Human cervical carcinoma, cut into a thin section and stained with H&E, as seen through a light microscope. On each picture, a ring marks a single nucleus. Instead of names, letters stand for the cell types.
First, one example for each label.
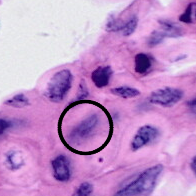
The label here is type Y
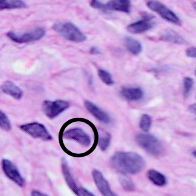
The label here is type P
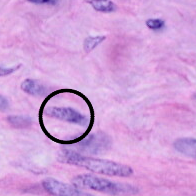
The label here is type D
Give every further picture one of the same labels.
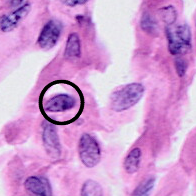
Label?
type Y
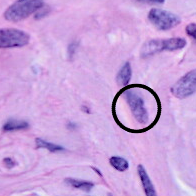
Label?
type P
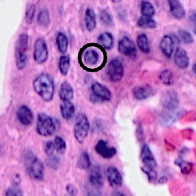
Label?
type Y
